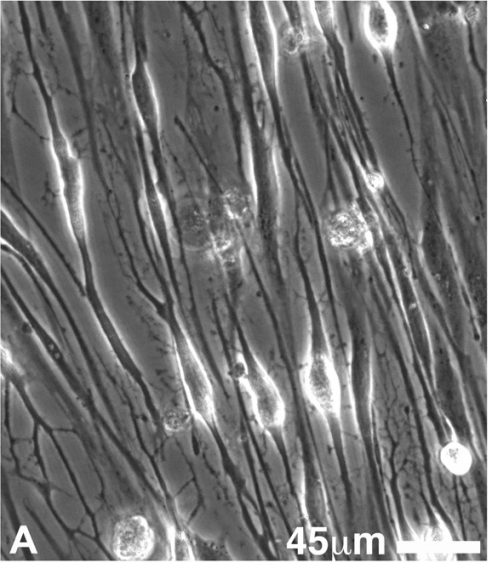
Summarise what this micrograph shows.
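Cells are slender and spindle-shaped, with elongated phase-bright bodies that taper into long, thin processes. The cells and their processes run roughly in parallel, on a diagonal across the field, forming a streaming, aligned pattern. Processes are mostly unbranched or sparsely branched and overlap one another. A few rounded, phase-bright cells lie scattered among the elongated ones. The background between the processes is flat and grey.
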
